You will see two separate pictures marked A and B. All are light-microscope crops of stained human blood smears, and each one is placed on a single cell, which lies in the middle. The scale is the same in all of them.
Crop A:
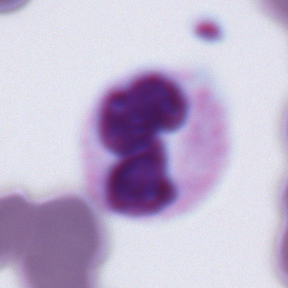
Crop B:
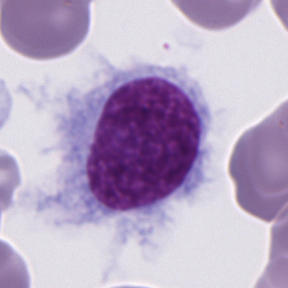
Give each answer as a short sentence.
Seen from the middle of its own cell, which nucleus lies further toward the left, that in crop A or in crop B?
The nucleus in crop A lies further toward the left of its cell.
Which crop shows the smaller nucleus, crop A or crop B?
The nucleus in crop A is smaller; the one in crop B has about 1.5 times its area.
